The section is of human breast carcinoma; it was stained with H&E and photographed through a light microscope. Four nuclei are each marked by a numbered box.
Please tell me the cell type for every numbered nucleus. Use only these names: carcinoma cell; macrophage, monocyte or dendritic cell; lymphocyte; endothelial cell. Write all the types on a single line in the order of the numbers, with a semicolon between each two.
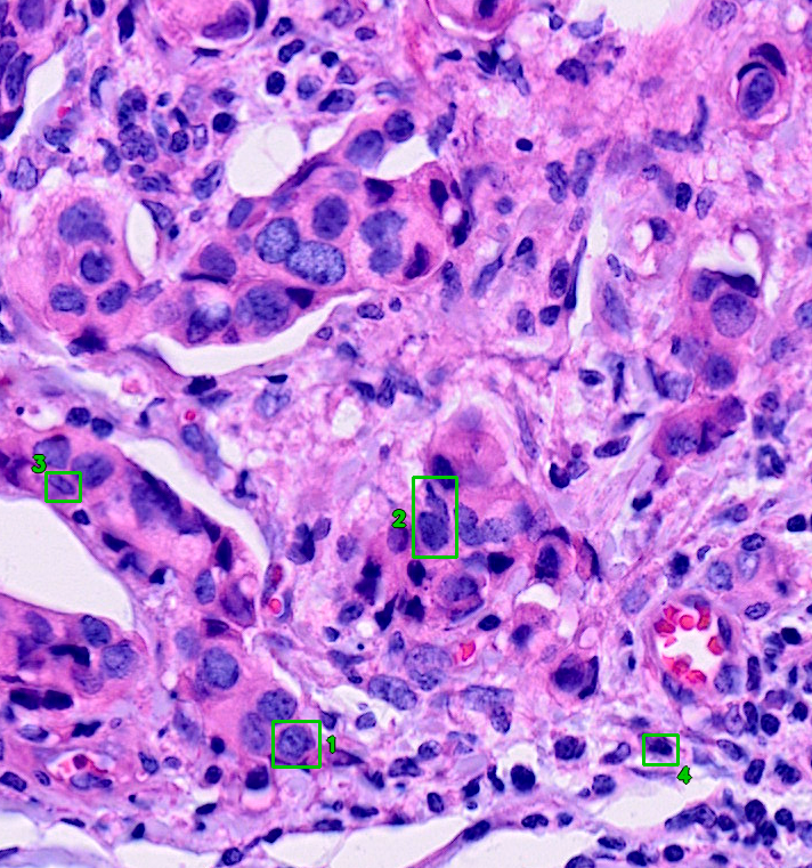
carcinoma cell; carcinoma cell; carcinoma cell; lymphocyte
